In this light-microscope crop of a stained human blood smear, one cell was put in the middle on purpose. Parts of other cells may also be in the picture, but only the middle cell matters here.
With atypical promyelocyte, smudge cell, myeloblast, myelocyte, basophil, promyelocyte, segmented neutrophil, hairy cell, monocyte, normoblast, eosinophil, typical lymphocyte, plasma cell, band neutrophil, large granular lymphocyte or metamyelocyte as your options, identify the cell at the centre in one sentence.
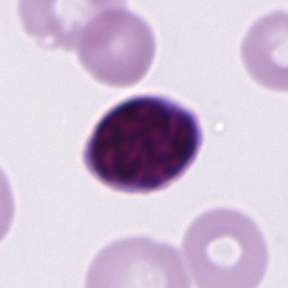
Present in the middle of the crop is a large granular lymphocyte.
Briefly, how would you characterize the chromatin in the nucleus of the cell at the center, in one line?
One feature to record is coarsely clumped chromatin.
